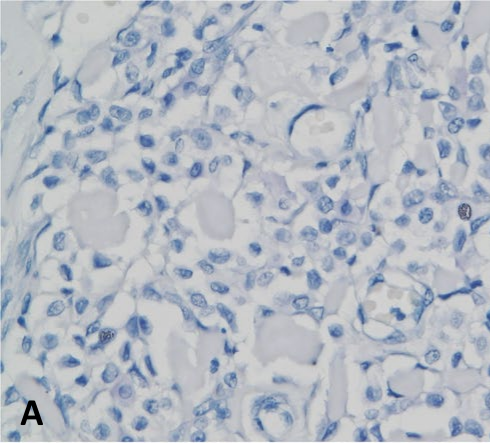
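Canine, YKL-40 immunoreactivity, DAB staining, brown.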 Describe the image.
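Sheets and cords of round to polygonal tumour cells lie between pale, glassy bundles of collagen. A few small vessels are visible among the cells.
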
